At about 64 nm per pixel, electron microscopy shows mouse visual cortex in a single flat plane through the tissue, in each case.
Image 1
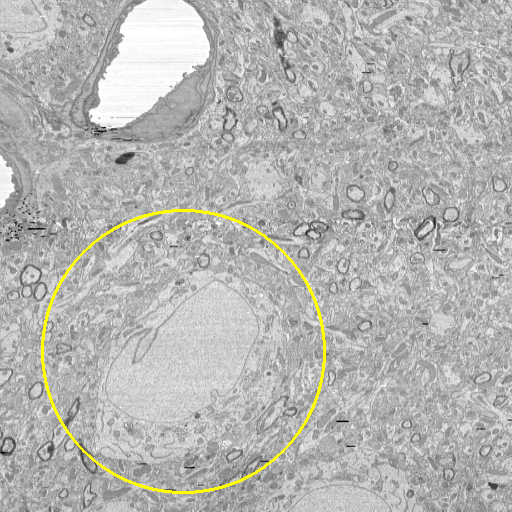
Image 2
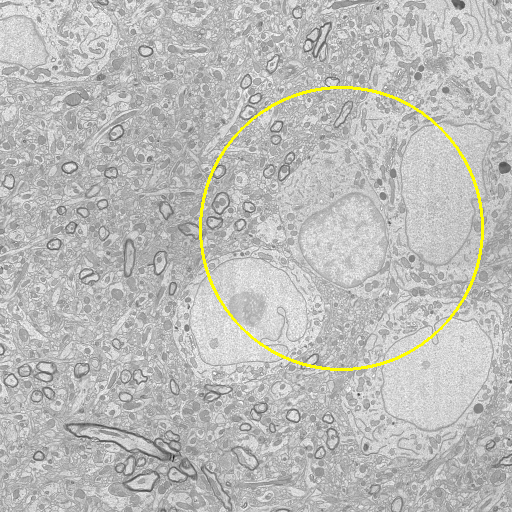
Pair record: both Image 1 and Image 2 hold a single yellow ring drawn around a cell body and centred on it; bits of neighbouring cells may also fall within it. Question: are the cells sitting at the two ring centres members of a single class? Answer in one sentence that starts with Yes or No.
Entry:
No, the ring-centre cells in Image 1 and Image 2 come from two classes.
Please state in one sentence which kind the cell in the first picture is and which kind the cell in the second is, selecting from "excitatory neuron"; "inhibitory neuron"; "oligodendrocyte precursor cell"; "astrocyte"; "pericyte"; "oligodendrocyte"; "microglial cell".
The first ringed cell is an excitatory neuron, the second ringed cell an oligodendrocyte.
